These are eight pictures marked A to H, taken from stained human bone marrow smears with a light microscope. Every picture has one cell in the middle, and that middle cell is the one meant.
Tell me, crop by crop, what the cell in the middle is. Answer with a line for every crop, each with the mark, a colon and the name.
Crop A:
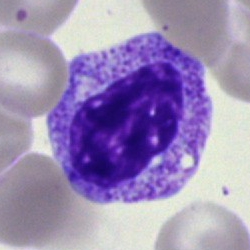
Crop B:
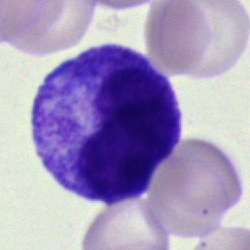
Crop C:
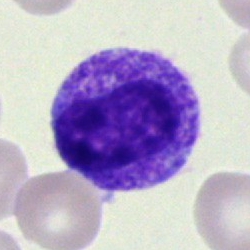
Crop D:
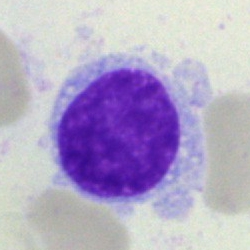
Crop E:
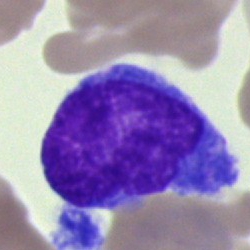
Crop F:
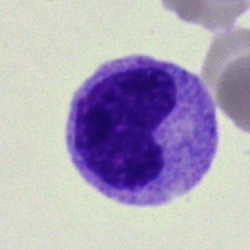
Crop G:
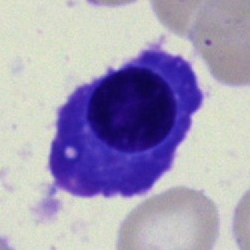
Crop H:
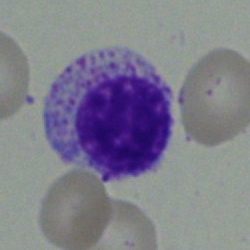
A: myelocyte
B: metamyelocyte
C: metamyelocyte
D: hairy cell
E: monocyte
F: metamyelocyte
G: plasma cell
H: myelocyte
